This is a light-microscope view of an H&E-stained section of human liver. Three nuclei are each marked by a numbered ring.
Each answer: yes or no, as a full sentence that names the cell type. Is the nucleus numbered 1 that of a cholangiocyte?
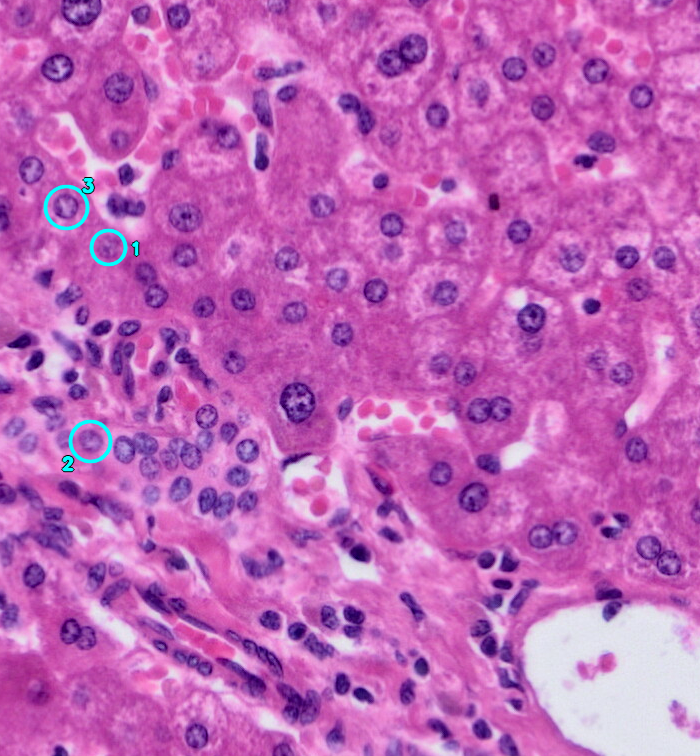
No, cell 1 is a hepatocyte and should not be called a cholangiocyte.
